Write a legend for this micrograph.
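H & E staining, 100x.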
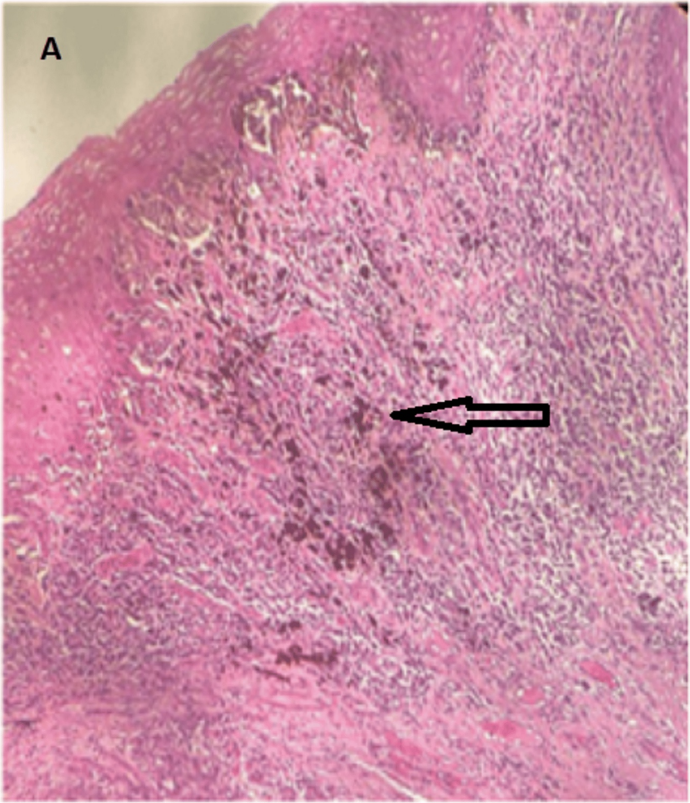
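Stratified squamous epithelium overlies a dense, sheet-like infiltrate of tumor cells of a melanocytic tumor in the underlying tissue. Clumps of dark brown to black pigment lie scattered among the crowded cells, which have dark, closely packed nuclei. Pink collagen strands run through the lower part of the field.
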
